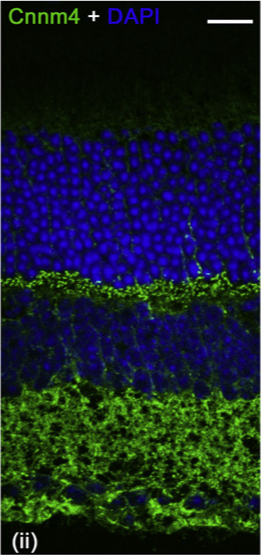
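A section of neural retina shows a thick outer nuclear layer of densely packed blue nuclei, a thinner inner nuclear layer, and a sparse row of nuclei in the ganglion cell layer at the bottom. Green labelling is strongest as a thin dotted band in the outer plexiform layer between the two nuclear layers and as a broad meshwork in the inner plexiform layer extending into the ganglion cell layer. Fine green radial threads cross the nuclear layers, and a faint green band lies above the outer nuclear layer in the inner segment region.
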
